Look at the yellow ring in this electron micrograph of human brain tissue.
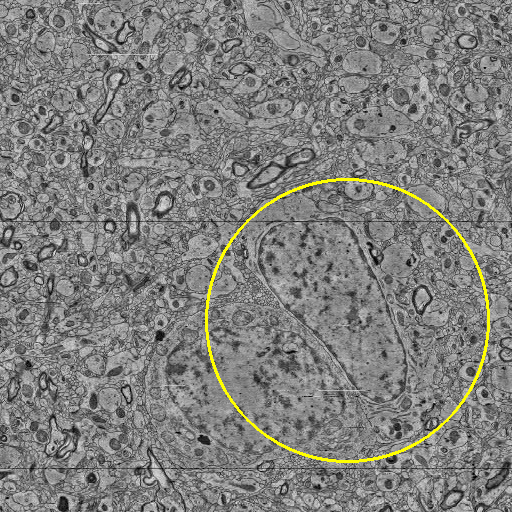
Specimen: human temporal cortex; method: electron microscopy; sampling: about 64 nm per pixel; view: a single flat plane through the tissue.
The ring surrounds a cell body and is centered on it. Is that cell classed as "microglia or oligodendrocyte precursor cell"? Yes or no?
Yes, that is its cell type.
